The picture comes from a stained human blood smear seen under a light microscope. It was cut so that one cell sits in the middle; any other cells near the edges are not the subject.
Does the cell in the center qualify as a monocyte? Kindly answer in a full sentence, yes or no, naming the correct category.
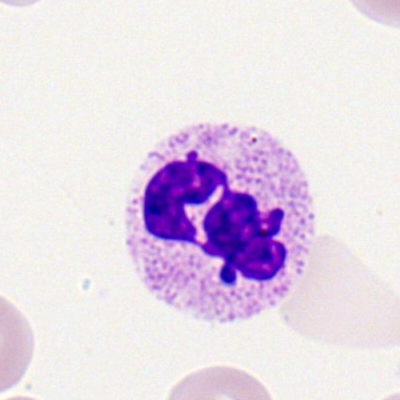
No, the centred cell is a segmented neutrophil, and it is not a monocyte.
